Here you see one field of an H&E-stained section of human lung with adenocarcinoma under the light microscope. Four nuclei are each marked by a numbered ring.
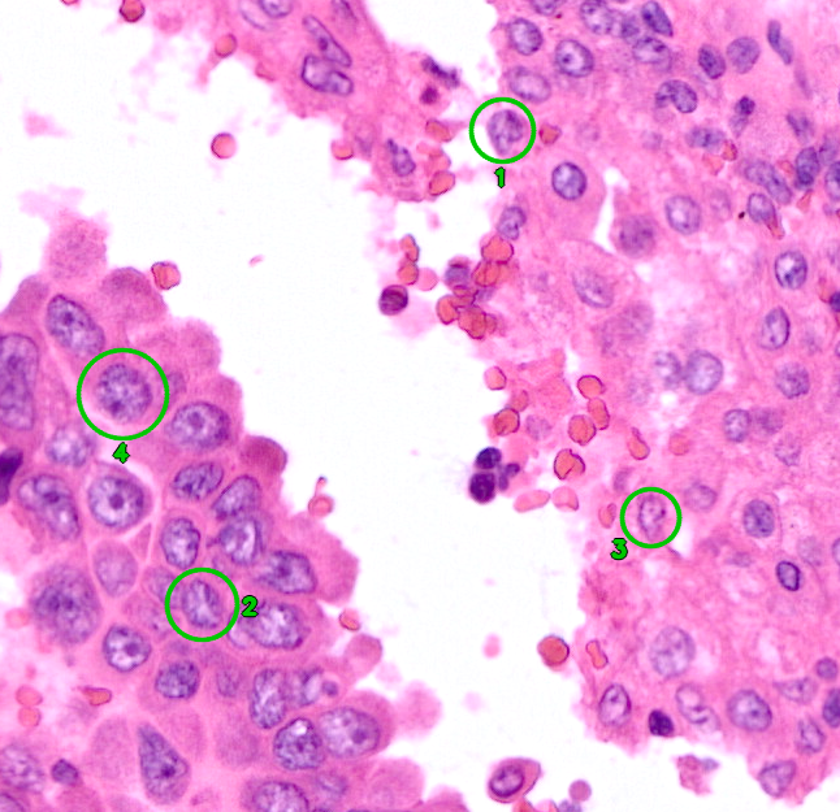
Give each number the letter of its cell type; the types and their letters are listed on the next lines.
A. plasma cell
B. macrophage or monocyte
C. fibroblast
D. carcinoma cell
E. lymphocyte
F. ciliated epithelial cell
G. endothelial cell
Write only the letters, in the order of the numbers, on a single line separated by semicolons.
B; D; B; D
